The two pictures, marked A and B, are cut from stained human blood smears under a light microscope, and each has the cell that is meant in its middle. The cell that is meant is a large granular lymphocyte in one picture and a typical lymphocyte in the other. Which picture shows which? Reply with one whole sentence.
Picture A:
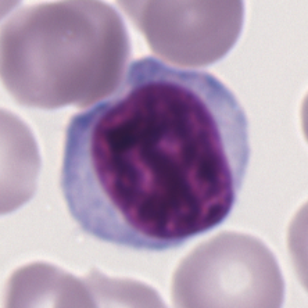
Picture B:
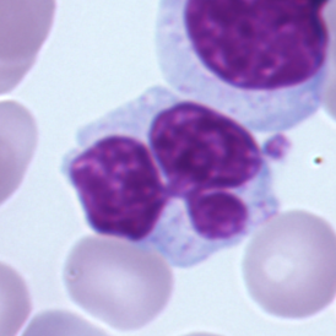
In picture A the cell is a typical lymphocyte; in picture B, a large granular lymphocyte.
